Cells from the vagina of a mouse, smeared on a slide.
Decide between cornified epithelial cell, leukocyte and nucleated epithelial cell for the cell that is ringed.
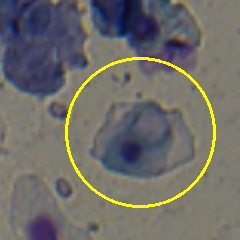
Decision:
I take the ringed cell for a nucleated epithelial cell.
